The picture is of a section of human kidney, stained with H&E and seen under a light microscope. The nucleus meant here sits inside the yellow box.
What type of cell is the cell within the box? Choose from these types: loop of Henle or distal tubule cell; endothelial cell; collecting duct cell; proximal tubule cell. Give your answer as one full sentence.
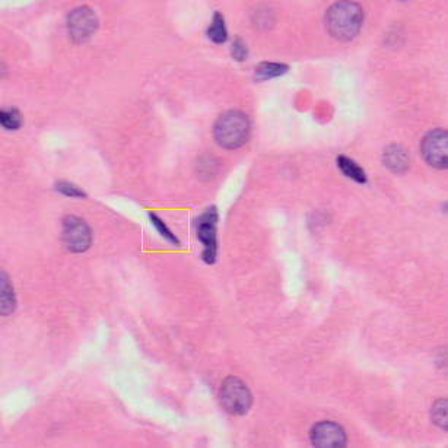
The correct response here is that the cell within the box is an endothelial cell.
